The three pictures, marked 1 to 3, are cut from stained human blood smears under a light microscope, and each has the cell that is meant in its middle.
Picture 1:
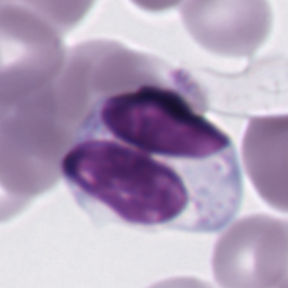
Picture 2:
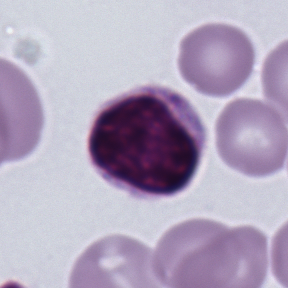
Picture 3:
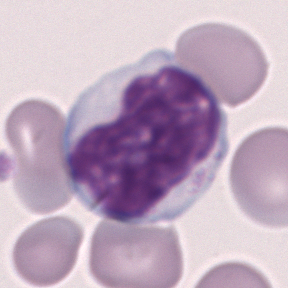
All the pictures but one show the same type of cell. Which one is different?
3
